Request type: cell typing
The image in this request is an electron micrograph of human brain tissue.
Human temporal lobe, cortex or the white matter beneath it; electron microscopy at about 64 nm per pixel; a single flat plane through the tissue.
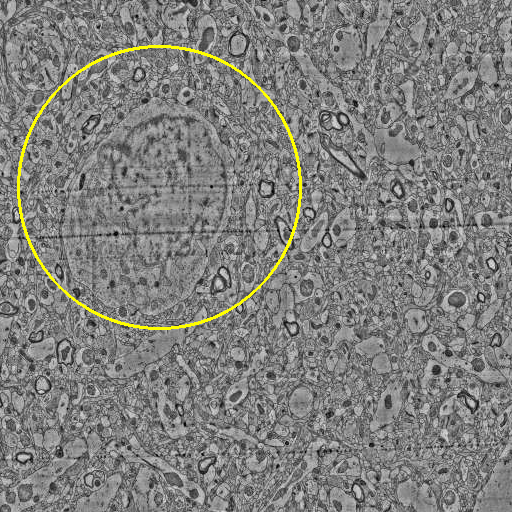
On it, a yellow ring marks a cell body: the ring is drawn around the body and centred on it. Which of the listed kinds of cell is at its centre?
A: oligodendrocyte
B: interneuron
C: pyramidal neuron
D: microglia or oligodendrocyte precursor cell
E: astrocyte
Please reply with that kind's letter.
B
